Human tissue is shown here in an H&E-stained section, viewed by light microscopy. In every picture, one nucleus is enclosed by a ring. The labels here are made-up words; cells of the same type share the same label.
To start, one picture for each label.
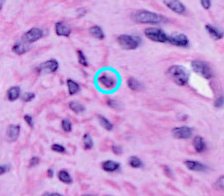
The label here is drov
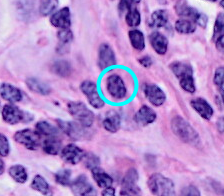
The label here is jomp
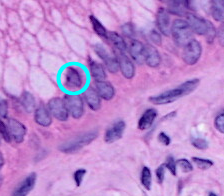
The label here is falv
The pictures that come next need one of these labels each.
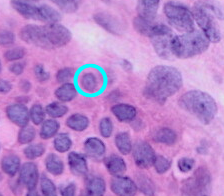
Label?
falv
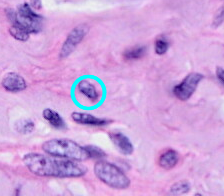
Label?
drov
